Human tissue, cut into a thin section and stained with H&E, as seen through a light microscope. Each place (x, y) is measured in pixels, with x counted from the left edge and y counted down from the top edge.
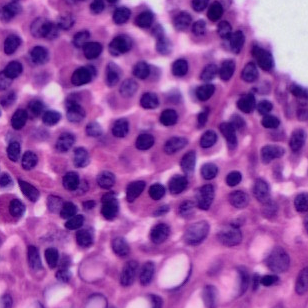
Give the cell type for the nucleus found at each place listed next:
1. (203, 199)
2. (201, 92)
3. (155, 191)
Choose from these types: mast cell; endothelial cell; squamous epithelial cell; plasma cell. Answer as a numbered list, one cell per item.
1. squamous epithelial cell
2. plasma cell
3. plasma cell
